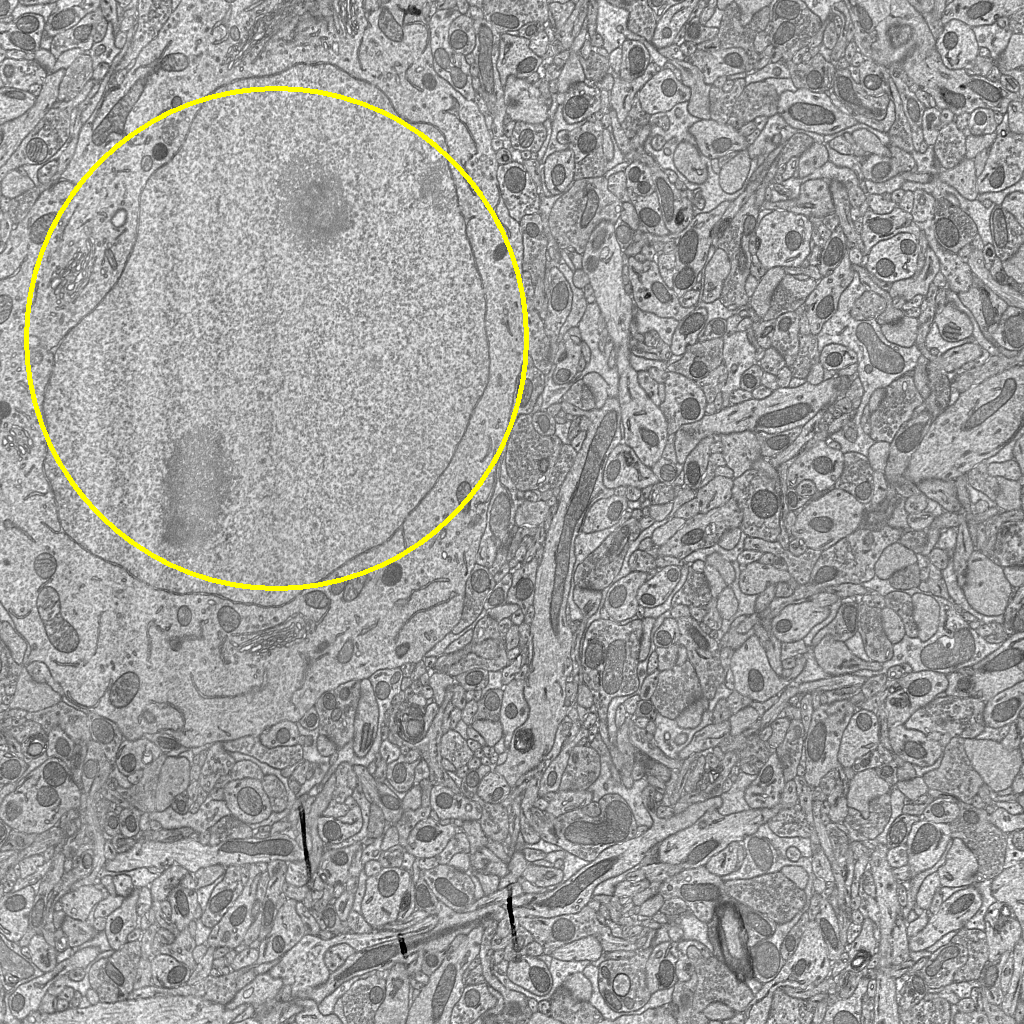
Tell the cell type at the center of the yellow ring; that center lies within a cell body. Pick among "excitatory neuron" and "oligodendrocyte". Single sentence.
The ring's center lies in the body of an excitatory neuron.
